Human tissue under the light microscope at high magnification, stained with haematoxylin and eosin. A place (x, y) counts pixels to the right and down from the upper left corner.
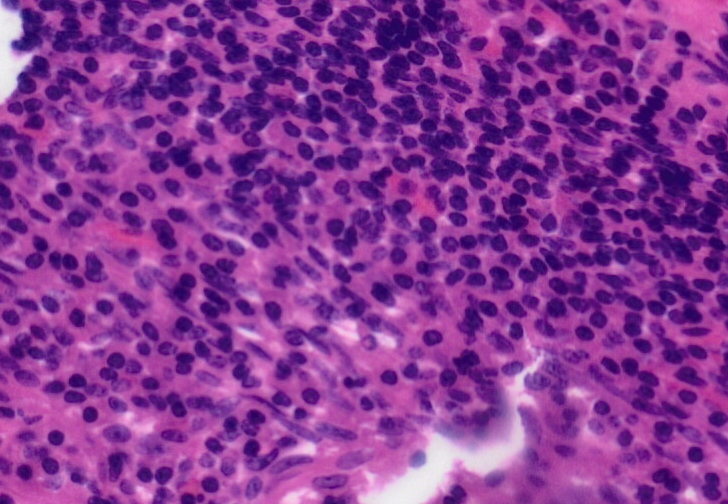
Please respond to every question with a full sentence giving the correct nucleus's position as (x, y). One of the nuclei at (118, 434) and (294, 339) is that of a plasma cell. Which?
The nucleus contained in a plasma cell is the one at (294, 339).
